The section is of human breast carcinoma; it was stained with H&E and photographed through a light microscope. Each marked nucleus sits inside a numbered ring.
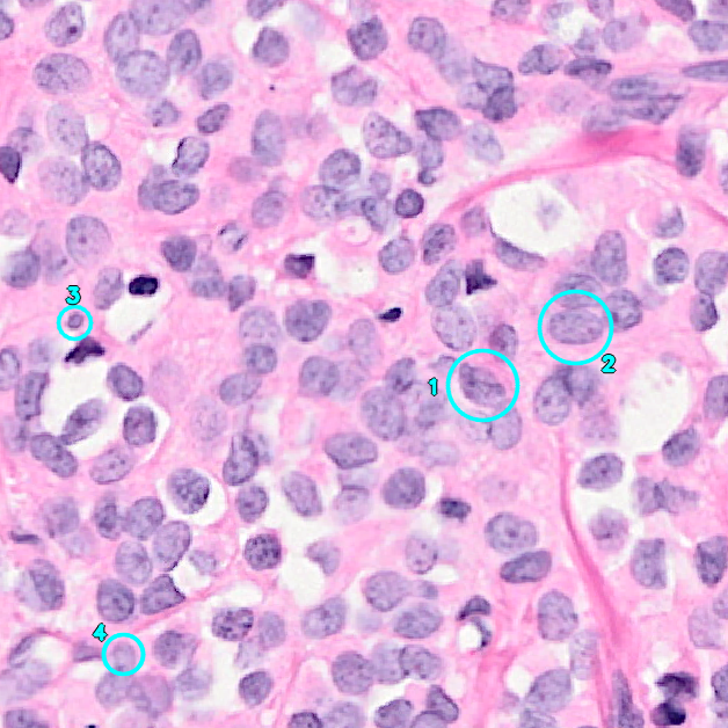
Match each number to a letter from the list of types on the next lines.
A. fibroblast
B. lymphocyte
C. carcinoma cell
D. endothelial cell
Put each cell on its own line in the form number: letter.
1: C
2: C
3: B
4: C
